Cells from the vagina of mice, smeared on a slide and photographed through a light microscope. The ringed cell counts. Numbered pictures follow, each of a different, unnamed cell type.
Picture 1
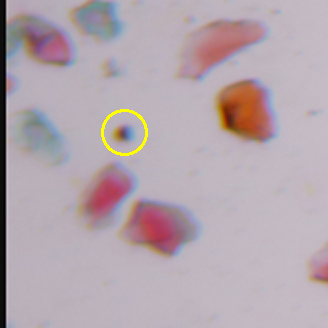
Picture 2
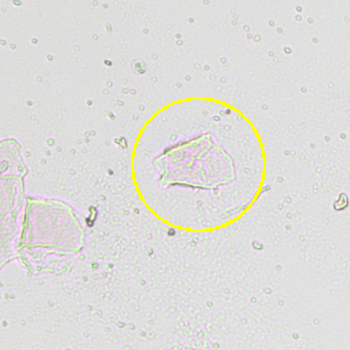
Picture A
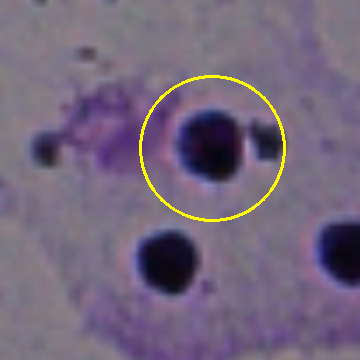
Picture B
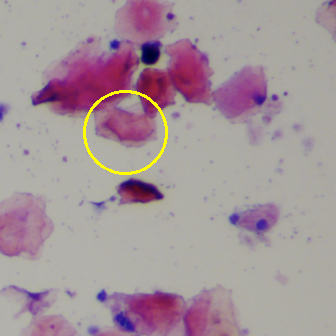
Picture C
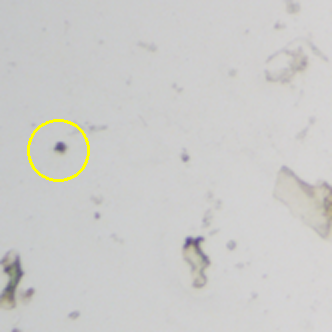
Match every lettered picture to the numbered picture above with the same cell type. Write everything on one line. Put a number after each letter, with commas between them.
A 1, B 2, C 1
